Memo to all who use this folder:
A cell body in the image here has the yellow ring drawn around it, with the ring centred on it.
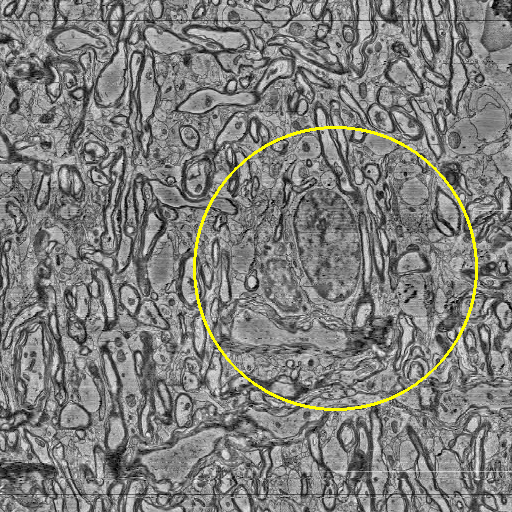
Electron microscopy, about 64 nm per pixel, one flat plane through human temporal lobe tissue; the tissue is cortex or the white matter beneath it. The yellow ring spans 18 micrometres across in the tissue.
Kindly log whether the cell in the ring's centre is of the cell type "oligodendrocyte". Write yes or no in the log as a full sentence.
No, logged: the ring in this image is centred on a cell of a different type.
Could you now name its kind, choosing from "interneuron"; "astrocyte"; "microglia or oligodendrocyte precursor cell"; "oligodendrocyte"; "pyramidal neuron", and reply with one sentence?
The cell shown in the ring is a microglial cell or oligodendrocyte precursor cell.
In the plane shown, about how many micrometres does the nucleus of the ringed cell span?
In this plane, the nucleus is roughly 8 by 4 micrometres.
